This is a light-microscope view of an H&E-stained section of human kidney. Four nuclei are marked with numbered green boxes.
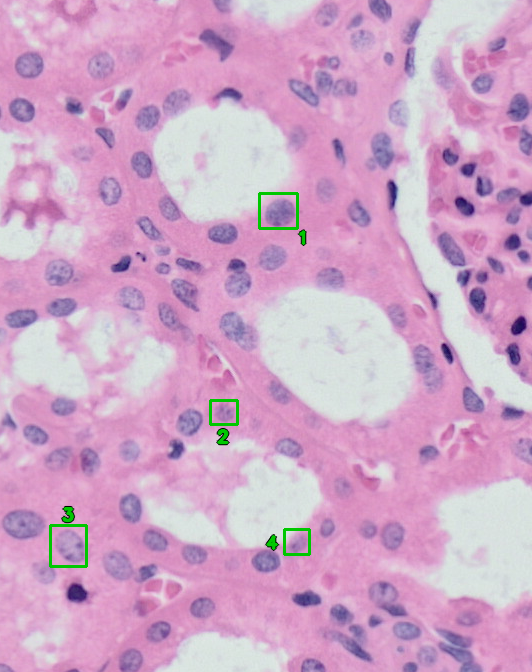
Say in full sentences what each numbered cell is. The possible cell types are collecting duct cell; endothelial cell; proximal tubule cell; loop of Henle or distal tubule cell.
Cell 1 is a loop of Henle or distal tubule cell, cell 2 is a loop of Henle or distal tubule cell, cell 3 is a proximal tubule cell and cell 4 is a loop of Henle or distal tubule cell.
